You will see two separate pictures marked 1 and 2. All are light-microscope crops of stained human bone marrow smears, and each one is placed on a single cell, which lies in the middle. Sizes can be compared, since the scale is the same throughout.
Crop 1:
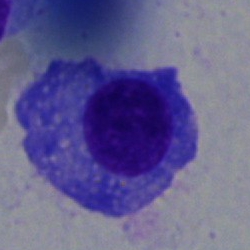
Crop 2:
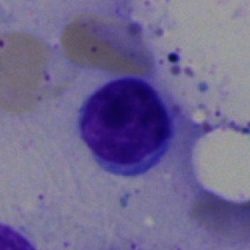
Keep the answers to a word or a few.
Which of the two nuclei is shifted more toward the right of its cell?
1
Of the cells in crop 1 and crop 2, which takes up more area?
1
